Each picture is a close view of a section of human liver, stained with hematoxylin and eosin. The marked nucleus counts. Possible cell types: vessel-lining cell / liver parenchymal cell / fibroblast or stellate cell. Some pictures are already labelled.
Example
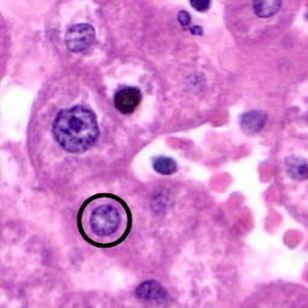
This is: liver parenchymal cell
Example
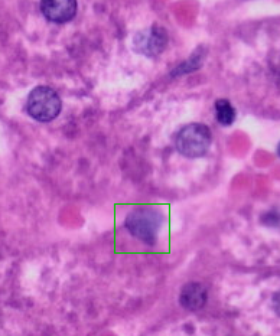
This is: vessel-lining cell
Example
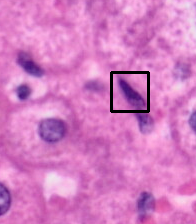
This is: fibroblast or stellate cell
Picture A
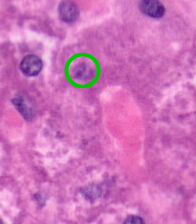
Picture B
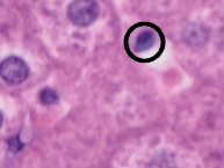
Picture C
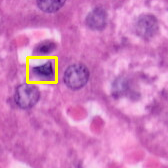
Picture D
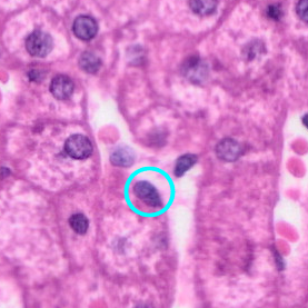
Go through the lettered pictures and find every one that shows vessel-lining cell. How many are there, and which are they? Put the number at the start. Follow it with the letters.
0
